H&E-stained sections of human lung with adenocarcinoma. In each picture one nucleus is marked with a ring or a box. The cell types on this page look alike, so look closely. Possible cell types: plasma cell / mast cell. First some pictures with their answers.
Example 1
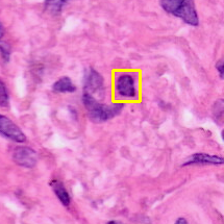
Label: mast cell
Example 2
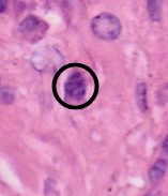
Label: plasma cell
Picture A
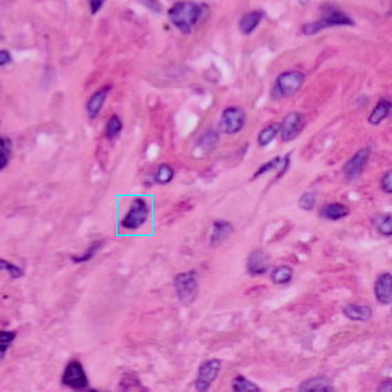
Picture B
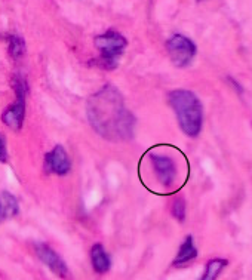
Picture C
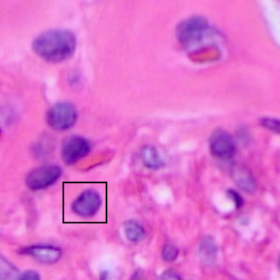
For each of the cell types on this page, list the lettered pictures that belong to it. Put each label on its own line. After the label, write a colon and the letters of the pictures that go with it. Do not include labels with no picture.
mast cell: A, B, C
